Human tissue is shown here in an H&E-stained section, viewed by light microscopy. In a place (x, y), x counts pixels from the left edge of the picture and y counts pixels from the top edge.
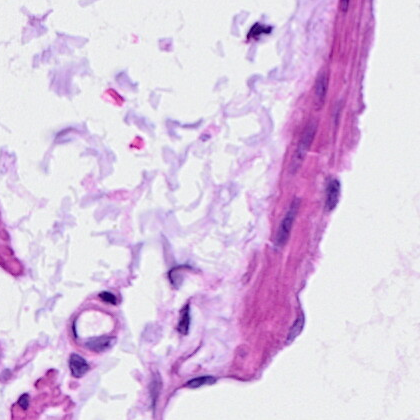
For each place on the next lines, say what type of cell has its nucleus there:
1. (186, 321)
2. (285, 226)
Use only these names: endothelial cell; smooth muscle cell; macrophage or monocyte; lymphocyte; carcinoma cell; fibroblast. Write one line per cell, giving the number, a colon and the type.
1: fibroblast
2: smooth muscle cell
